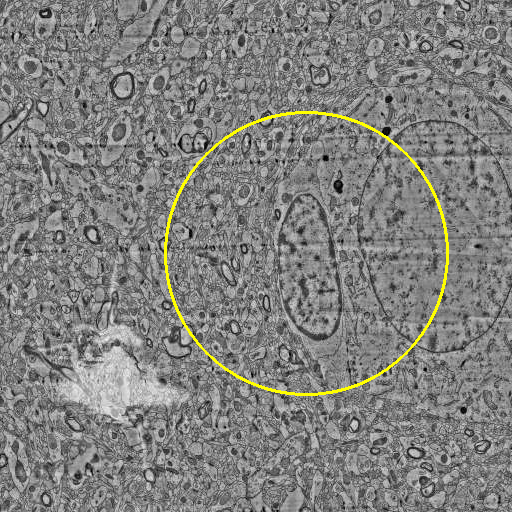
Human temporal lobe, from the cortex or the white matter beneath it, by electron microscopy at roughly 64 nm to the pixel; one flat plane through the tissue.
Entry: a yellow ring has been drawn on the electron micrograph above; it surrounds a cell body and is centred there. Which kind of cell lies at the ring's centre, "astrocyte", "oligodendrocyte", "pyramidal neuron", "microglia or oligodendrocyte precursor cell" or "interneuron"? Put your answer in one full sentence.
The cell sitting at the ring's centre is a microglial cell or oligodendrocyte precursor cell in the micrograph above.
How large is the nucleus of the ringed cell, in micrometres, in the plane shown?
In this plane the nucleus measures about 9 by 4 micrometres and is clearly longer than it is wide.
